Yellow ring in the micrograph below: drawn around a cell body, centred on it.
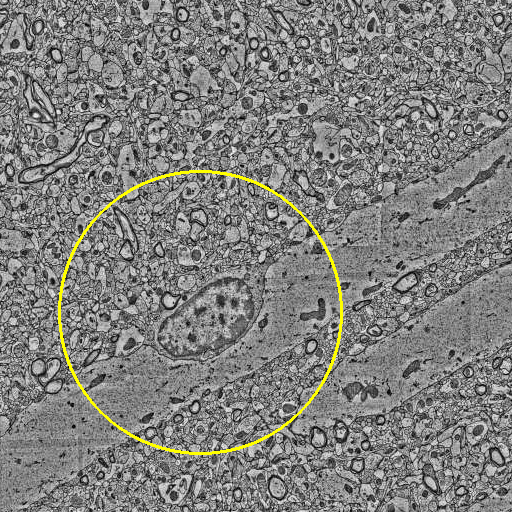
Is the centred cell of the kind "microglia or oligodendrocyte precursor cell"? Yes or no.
no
